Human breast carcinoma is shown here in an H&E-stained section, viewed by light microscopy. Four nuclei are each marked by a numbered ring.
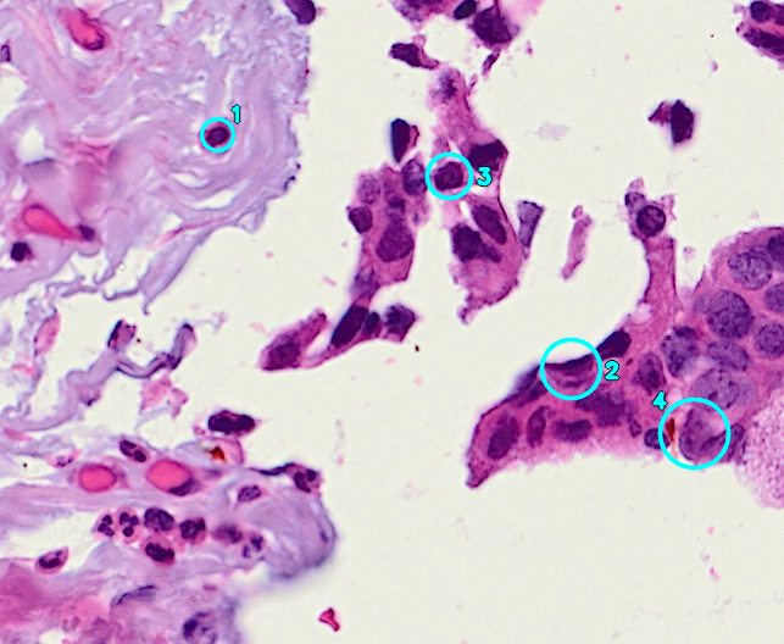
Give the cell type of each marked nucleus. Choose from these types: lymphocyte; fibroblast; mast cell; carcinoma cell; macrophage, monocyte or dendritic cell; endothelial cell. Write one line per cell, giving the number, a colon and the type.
1: mast cell
2: carcinoma cell
3: carcinoma cell
4: carcinoma cell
